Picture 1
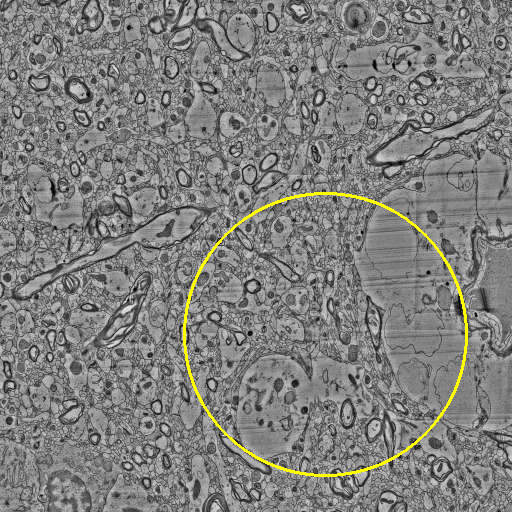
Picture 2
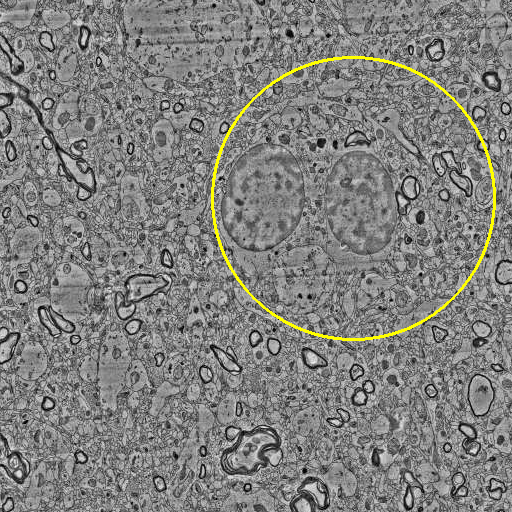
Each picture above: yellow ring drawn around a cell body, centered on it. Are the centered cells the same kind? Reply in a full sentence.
Yes, the two cells are the same kind.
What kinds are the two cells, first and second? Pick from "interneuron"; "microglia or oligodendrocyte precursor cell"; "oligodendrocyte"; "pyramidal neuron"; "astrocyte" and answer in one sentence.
Both the first and the second picture show an oligodendrocyte in the ring.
